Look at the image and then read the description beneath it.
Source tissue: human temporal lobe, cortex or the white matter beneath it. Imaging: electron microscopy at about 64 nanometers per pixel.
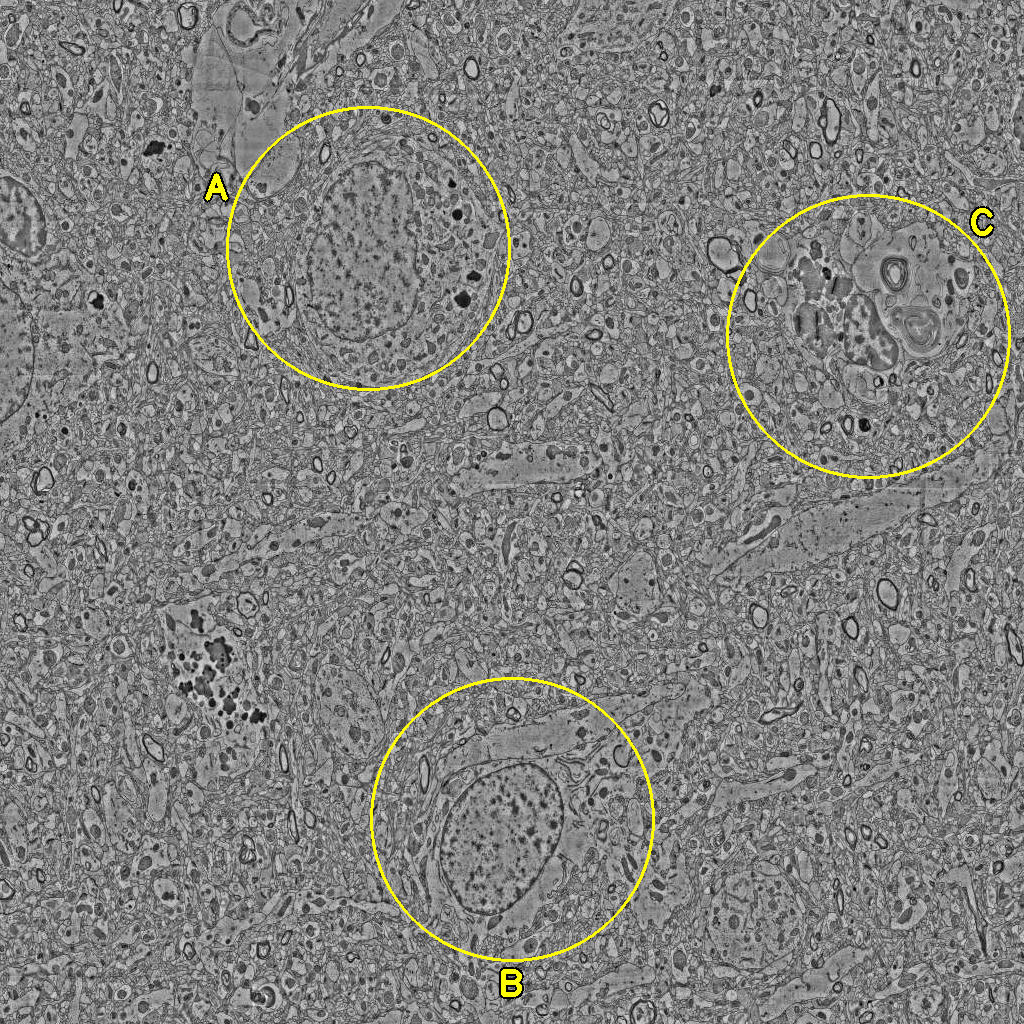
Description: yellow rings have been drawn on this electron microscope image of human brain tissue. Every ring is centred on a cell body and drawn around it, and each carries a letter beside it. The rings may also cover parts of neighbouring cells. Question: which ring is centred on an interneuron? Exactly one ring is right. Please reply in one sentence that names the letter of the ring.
It is ring A.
